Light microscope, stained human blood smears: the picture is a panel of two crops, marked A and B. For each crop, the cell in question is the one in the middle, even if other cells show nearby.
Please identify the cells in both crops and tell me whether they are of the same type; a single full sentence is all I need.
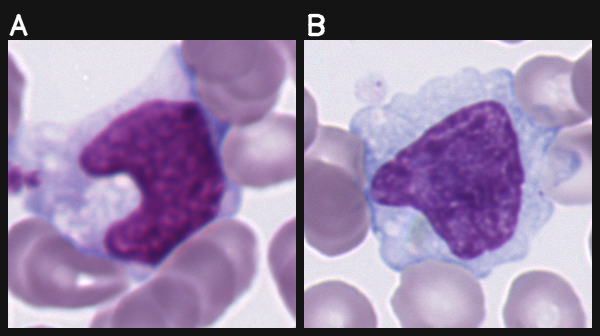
No, what crop A shows is a monocyte, and what crop B shows is a myeloblast.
